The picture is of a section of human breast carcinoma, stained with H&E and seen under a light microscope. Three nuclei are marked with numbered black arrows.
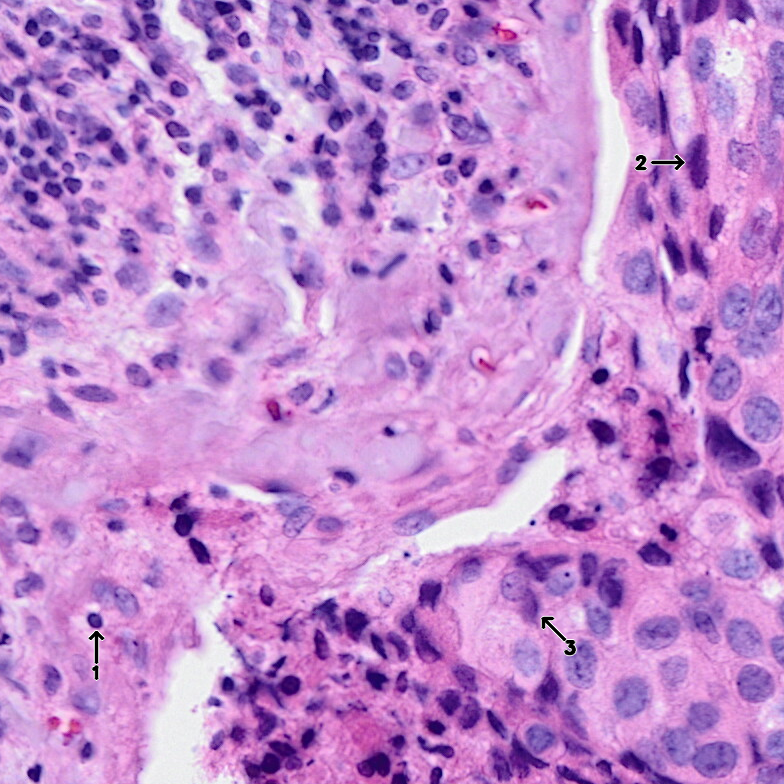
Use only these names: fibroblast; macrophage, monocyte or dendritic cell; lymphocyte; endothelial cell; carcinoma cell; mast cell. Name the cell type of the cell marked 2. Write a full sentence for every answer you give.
The cell identified by the number 2 is a carcinoma cell.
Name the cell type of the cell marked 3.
Recognised here as a carcinoma cell is the cell numbered 3.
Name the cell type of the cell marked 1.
The cell marked with number 1 is a lymphocyte.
